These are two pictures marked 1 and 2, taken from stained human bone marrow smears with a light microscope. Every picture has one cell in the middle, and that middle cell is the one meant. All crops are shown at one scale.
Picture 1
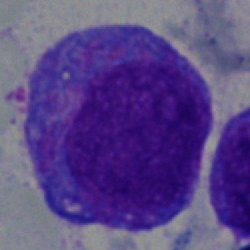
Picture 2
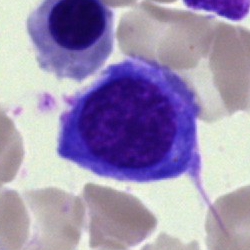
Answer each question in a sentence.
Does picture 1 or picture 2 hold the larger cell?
It is the cell in picture 1, about 2.5 times as large in area as the cell in picture 2.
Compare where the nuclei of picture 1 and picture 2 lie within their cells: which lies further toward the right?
It is the nucleus in picture 1 that lies further toward the right of its cell.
